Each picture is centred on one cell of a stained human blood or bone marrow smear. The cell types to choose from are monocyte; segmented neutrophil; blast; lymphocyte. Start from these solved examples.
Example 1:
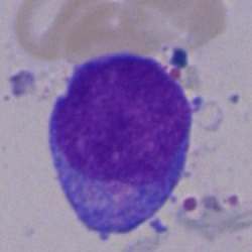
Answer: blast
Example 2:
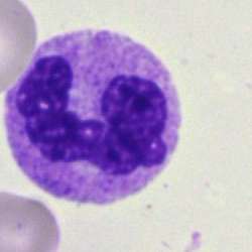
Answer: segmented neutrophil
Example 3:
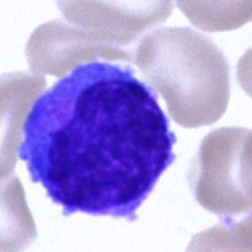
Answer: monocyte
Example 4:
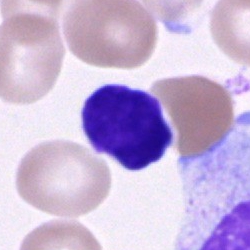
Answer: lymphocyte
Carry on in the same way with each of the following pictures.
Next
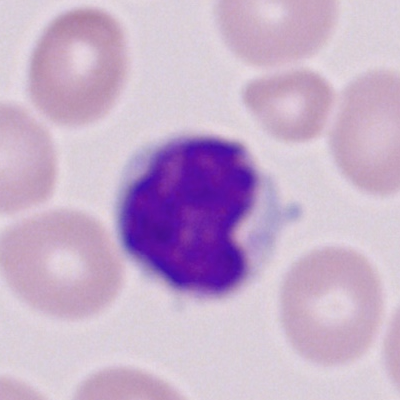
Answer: lymphocyte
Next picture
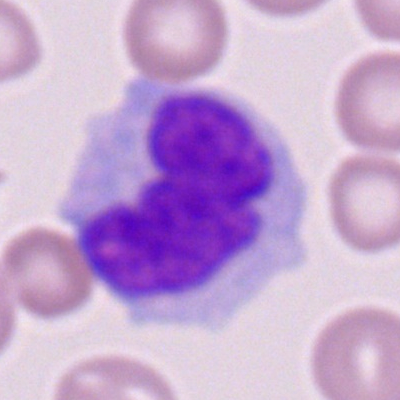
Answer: monocyte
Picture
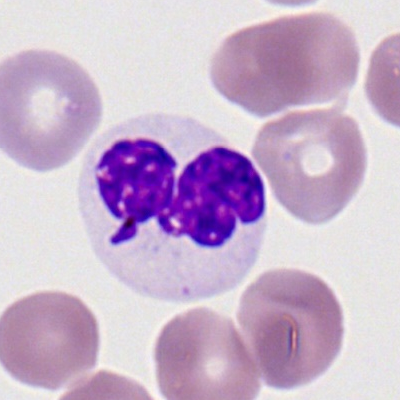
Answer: segmented neutrophil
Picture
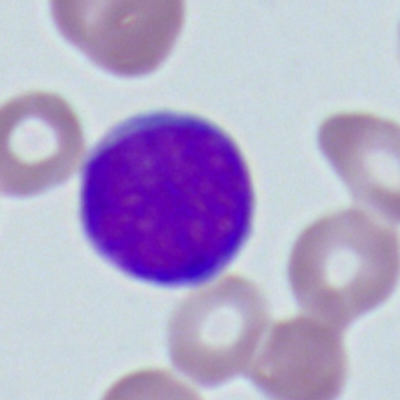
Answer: blast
